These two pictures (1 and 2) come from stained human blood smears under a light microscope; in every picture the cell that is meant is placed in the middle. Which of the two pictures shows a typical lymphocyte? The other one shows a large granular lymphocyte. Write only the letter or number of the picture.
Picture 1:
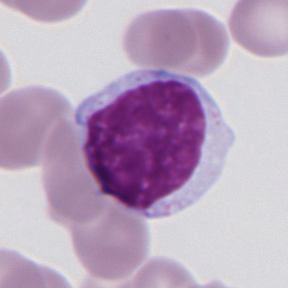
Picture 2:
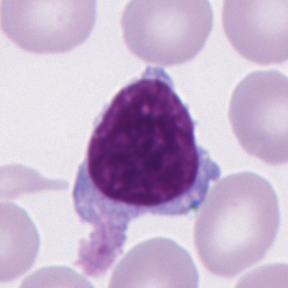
2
